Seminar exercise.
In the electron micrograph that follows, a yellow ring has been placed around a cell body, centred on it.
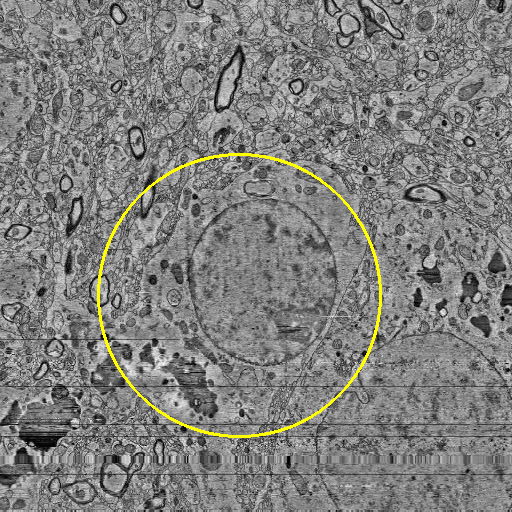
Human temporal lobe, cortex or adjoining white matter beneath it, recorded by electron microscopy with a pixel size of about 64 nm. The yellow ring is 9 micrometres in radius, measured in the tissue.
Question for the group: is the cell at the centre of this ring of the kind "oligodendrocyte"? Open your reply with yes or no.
No, the cell in the ring's centre is of another kind.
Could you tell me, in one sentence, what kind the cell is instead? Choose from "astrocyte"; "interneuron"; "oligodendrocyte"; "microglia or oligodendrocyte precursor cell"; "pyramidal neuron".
The cell at the ring centre is an astrocyte.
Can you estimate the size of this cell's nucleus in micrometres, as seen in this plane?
In this plane, approximately 11 by 9 micrometers.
